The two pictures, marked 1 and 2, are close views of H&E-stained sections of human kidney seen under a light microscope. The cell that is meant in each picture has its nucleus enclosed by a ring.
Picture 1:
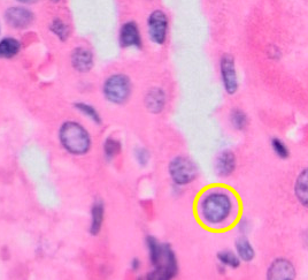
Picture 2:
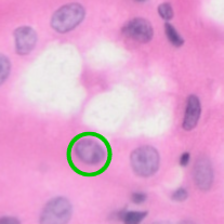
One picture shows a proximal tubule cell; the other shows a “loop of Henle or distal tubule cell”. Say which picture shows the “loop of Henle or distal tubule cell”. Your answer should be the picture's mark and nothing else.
1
